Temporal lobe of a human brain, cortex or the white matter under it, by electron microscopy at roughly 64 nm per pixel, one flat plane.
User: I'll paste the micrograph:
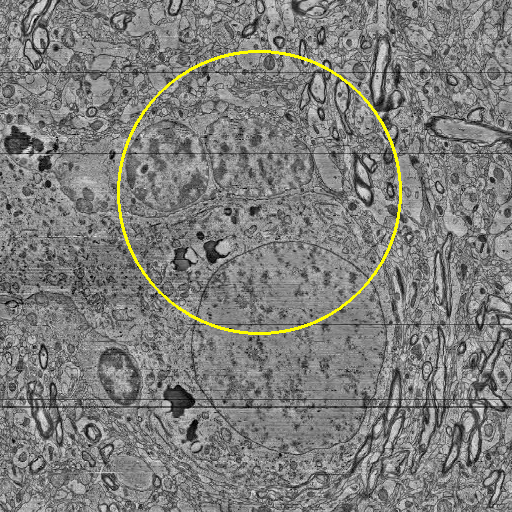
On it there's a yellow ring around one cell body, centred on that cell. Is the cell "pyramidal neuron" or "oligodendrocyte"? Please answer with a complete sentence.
The cell ringed in yellow is an oligodendrocyte.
